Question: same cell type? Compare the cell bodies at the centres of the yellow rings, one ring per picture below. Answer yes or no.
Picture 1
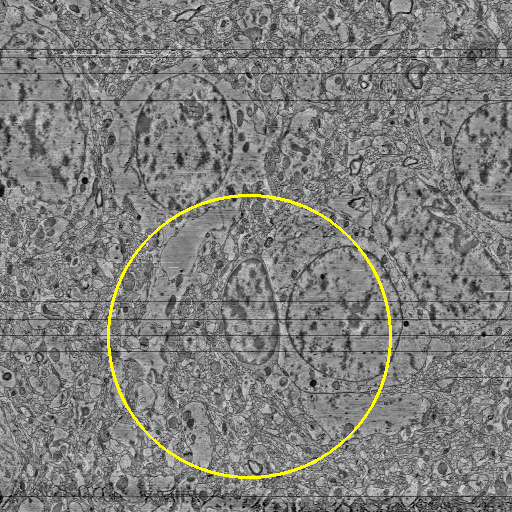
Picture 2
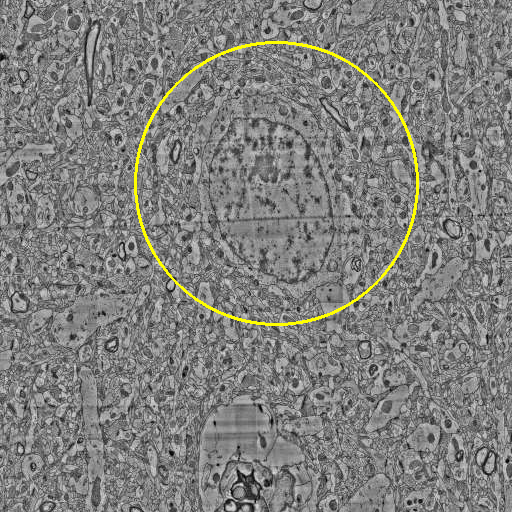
no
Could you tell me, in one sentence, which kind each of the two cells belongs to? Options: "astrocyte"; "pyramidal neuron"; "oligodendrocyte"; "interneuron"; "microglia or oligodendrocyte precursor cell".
At the centre of the first ring sits an oligodendrocyte, and at the centre of the second sits an interneuron.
